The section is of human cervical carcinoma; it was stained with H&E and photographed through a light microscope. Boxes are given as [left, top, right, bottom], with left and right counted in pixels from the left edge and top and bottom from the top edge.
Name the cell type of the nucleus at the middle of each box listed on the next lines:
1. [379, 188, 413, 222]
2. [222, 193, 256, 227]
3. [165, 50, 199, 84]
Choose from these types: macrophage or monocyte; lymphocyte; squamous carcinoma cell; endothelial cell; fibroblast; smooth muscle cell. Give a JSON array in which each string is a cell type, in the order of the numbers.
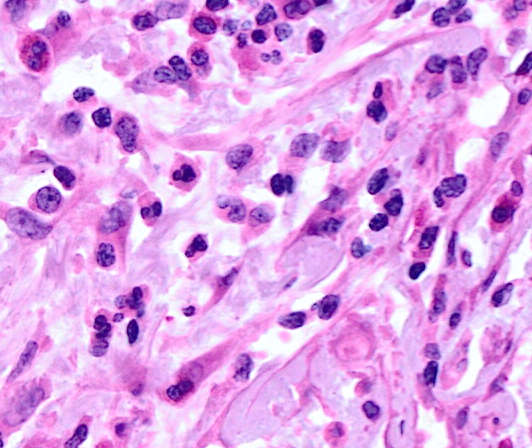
["lymphocyte", "macrophage or monocyte", "lymphocyte"]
